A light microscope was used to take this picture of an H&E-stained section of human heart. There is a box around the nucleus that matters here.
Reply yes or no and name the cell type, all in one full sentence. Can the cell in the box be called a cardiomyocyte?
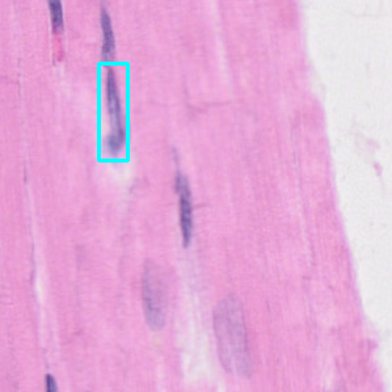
No, kindly revise that, as the cell in the box is an endothelial cell rather than a cardiomyocyte.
